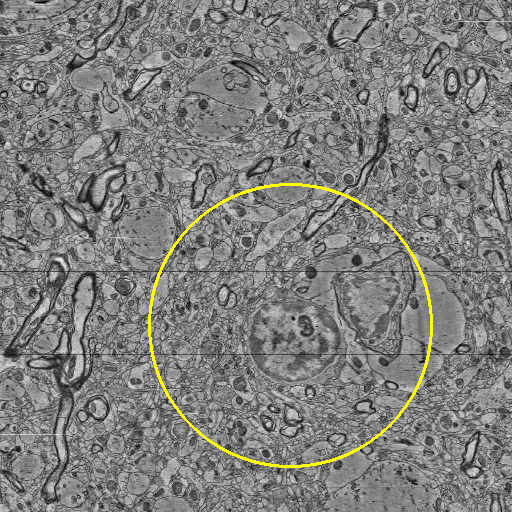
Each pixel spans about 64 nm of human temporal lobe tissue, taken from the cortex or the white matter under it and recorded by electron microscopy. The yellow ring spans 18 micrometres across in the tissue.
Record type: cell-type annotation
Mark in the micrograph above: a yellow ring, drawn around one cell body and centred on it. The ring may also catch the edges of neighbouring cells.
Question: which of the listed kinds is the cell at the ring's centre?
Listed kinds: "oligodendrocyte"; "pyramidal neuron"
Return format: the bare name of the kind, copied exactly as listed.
oligodendrocyte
